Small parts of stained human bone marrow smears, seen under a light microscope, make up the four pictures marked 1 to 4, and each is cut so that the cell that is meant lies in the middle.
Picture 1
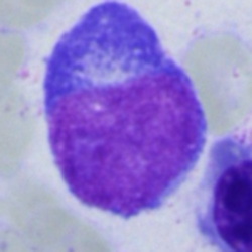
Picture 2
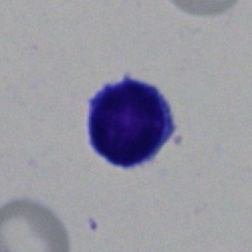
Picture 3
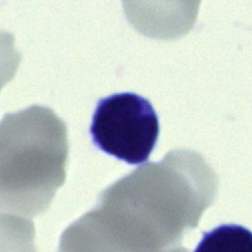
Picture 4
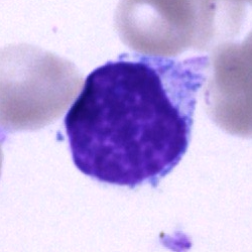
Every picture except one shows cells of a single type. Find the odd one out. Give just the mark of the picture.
1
